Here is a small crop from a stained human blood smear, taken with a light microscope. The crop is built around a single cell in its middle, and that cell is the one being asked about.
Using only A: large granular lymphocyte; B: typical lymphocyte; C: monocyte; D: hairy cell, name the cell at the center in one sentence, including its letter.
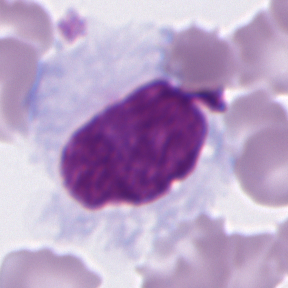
The correct identification, given in option D, is that the central cell is a hairy cell.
